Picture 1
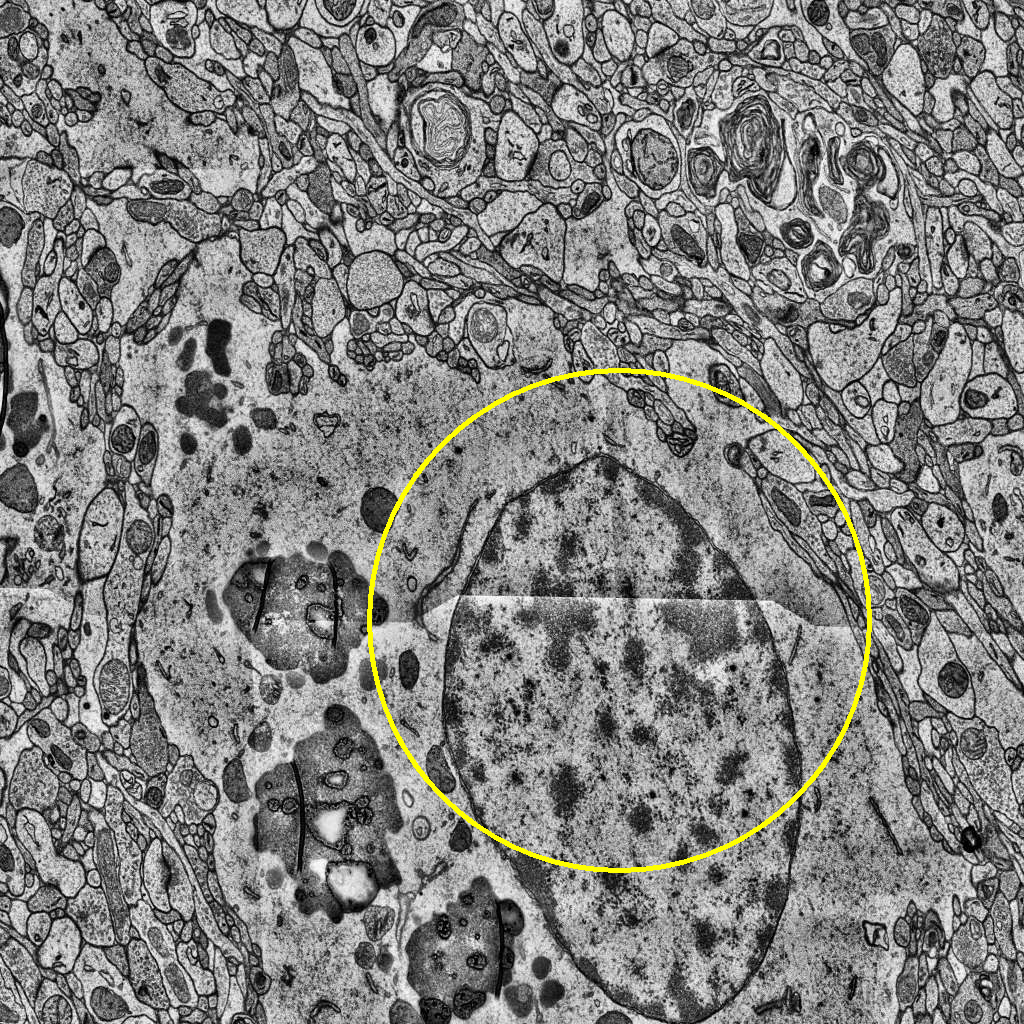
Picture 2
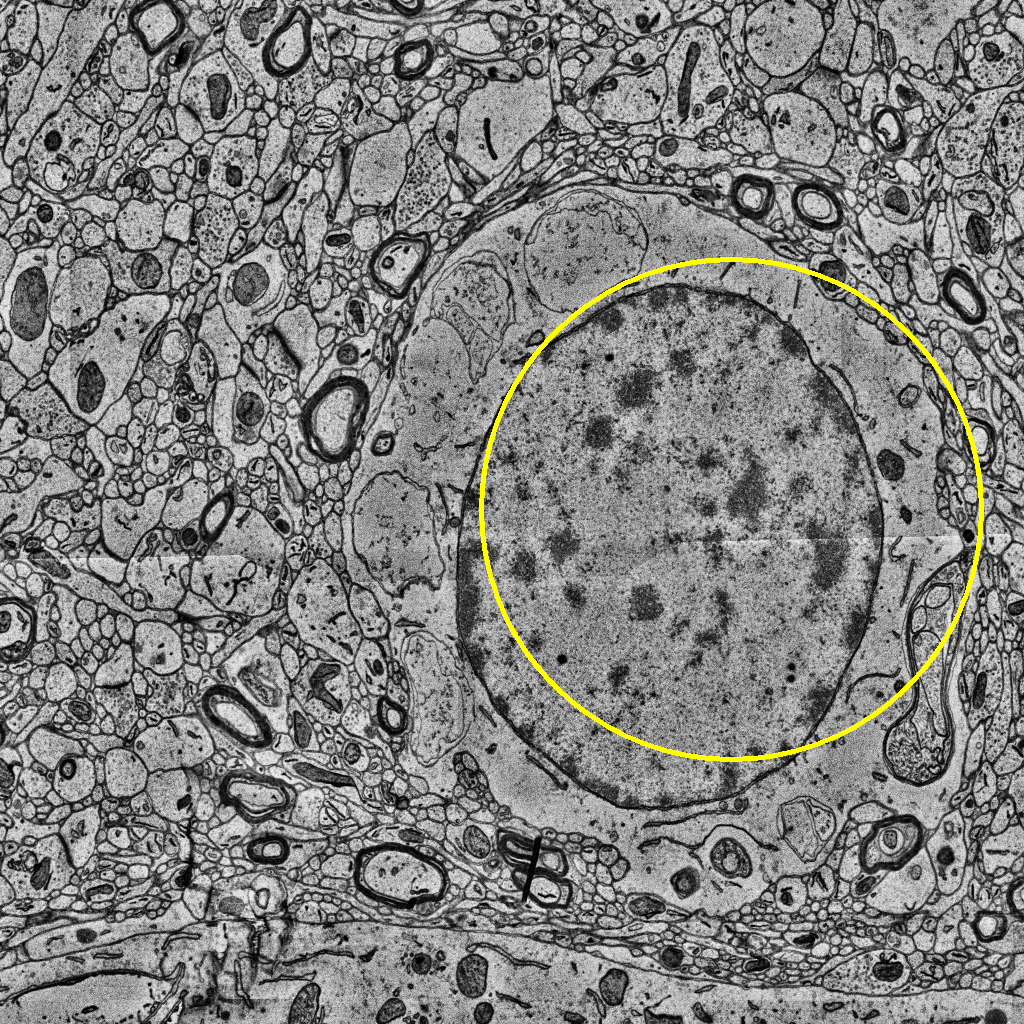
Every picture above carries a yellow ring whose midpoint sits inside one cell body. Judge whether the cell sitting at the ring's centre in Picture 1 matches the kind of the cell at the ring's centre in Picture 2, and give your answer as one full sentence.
Yes, the cells at the centres of the rings in Pictures 1 and 2 belong to one kind.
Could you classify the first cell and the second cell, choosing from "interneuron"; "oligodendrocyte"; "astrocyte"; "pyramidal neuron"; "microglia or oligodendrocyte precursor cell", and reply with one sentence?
Each cell, in the first picture and the second, is an astrocyte.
